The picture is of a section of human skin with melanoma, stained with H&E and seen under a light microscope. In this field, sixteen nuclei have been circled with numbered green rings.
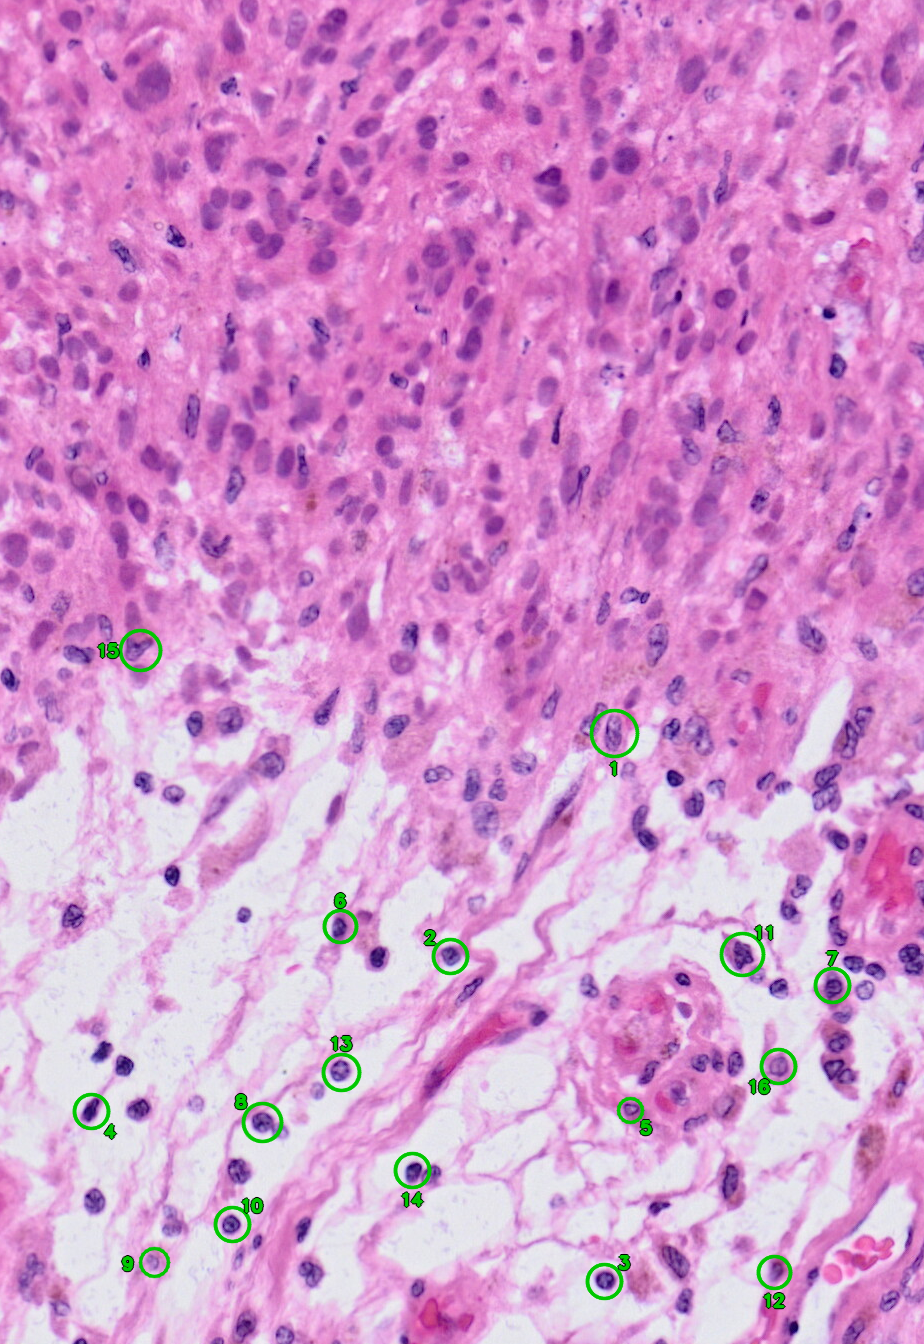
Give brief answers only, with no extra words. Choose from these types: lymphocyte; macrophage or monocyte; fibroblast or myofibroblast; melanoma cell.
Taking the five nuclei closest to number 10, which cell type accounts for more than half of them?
lymphocyte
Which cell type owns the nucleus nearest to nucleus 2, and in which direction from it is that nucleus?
a macrophage or monocyte; below and to the right of nucleus 2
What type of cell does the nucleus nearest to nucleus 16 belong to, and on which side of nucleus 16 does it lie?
a macrophage or monocyte; to the left of nucleus 16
